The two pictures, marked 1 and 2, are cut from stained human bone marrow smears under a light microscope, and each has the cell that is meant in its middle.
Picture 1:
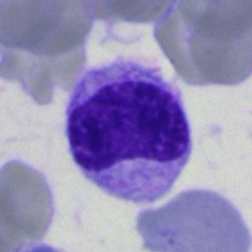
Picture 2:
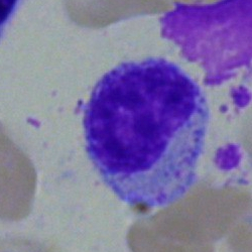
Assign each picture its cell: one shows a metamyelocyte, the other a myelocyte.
1: metamyelocyte
2: myelocyte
